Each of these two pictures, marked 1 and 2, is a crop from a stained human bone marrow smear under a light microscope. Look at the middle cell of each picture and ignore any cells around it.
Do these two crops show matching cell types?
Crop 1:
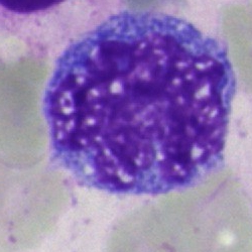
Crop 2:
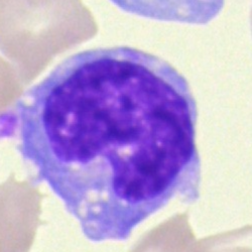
yes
